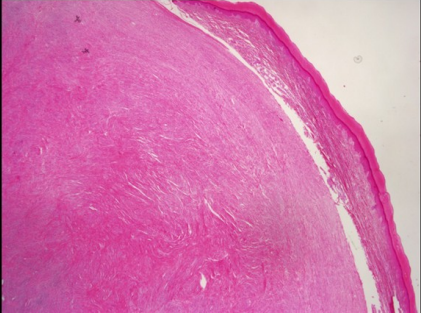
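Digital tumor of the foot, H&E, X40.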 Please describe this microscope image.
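At low power a rounded, pink, expanding mass fills most of the field, its edge sharp and smooth. A thin band of fibrous tissue encloses it as a capsule. Just beyond, across a narrow clear cleft, lies the overlying skin with its surface epidermis as a dark pink rim, close to the mass but not invaded by it.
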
